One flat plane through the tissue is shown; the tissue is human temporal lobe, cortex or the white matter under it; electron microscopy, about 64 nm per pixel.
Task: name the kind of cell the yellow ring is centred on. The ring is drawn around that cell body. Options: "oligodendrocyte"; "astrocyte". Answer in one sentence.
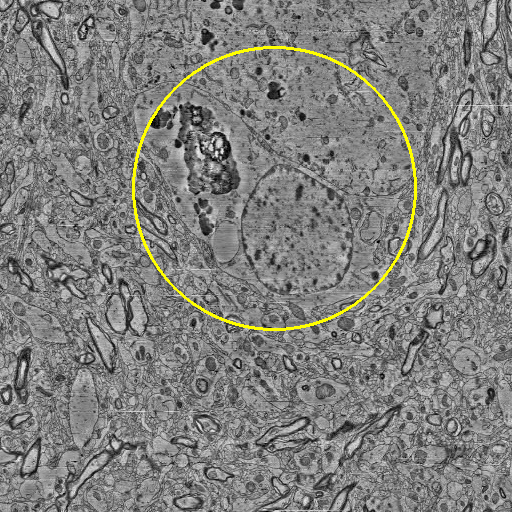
This cell body belongs to an astrocyte.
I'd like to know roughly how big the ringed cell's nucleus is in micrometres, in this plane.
The nucleus has a long axis of about 9 micrometres and a short axis of about 7 micrometres in this plane.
